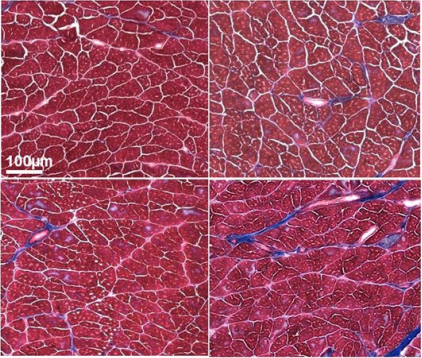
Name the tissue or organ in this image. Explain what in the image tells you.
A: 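Tightly packed polygonal fibers cut in cross section. Fibers stain red to magenta and are separated by thin pale boundaries.
Skeletal Muscle.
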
